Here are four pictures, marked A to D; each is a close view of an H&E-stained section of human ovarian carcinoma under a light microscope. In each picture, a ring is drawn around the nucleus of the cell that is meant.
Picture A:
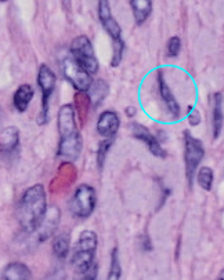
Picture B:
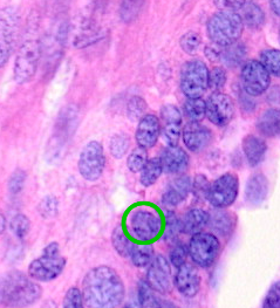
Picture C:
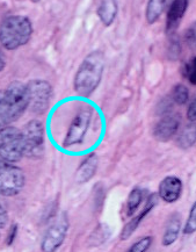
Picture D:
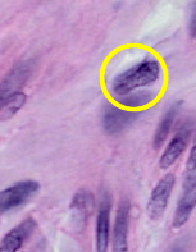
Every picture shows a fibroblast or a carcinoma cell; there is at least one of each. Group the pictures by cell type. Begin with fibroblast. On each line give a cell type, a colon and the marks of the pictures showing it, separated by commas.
fibroblast: A, C, D
carcinoma cell: B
